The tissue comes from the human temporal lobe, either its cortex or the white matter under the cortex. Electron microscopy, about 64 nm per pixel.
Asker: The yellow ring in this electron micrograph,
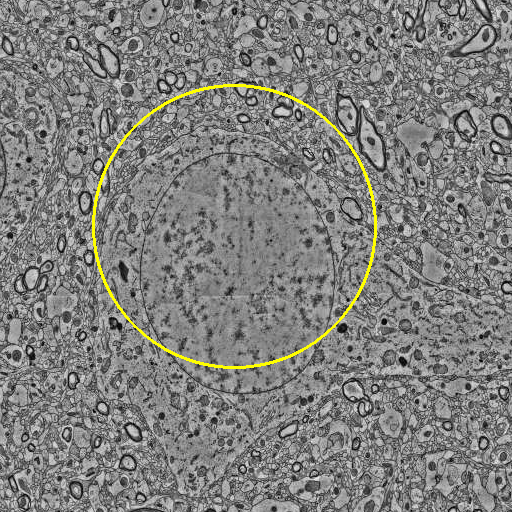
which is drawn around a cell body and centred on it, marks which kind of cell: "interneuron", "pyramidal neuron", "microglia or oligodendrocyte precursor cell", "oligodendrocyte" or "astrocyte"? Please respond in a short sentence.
The marked cell is a pyramidal neuron.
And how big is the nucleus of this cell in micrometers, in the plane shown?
About 16 by 13 micrometers, in this plane.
